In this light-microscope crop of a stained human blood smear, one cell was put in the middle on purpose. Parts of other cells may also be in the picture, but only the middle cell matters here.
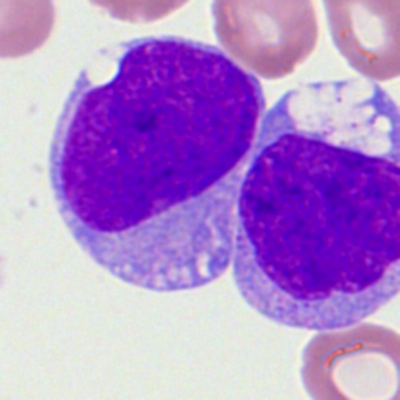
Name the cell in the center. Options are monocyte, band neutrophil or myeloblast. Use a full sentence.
The cell at the heart of this crop is a myeloblast.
